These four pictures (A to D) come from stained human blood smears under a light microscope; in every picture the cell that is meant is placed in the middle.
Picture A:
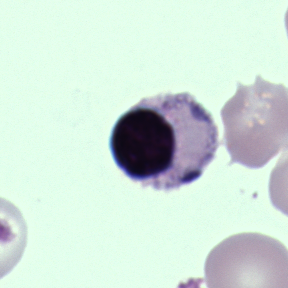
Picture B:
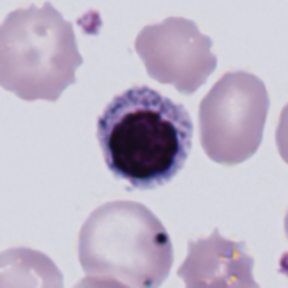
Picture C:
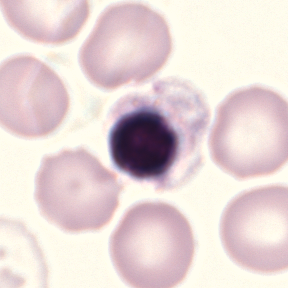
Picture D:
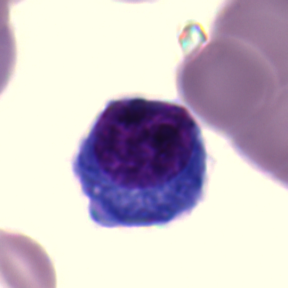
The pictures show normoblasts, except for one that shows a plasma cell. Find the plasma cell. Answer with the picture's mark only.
D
